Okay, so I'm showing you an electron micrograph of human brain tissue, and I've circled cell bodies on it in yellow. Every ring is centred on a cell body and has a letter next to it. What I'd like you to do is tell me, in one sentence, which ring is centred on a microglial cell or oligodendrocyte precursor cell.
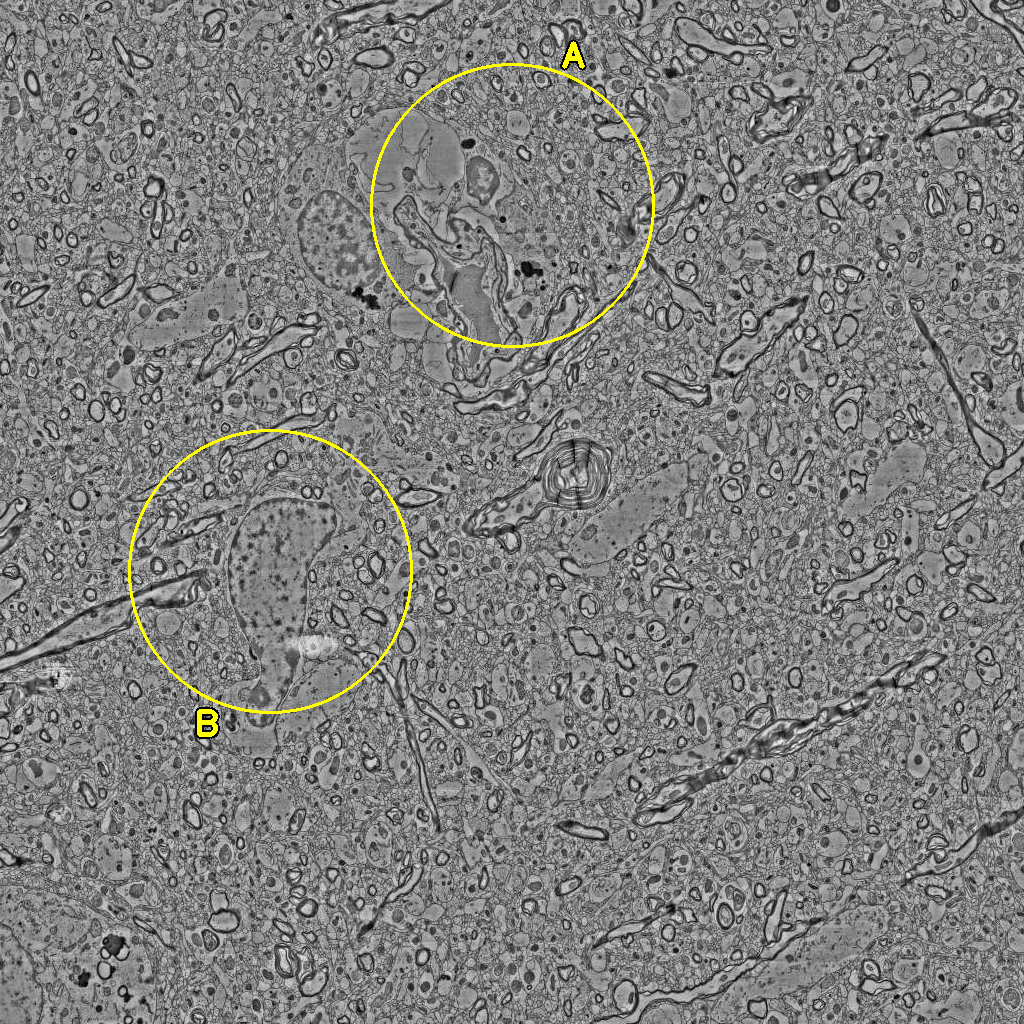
It's ring B.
